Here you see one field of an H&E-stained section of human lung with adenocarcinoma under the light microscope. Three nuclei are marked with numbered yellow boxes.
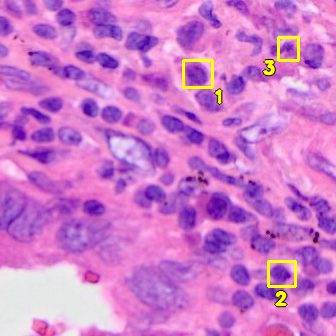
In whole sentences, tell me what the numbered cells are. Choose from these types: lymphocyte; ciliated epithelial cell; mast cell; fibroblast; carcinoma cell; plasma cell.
Cell 1 is a plasma cell, cell 2 is a lymphocyte and cell 3 is a plasma cell.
